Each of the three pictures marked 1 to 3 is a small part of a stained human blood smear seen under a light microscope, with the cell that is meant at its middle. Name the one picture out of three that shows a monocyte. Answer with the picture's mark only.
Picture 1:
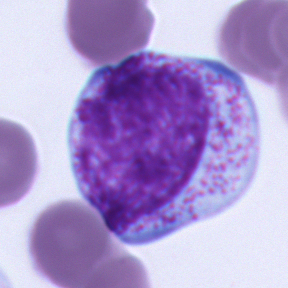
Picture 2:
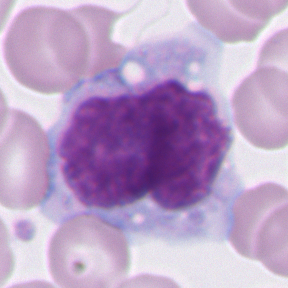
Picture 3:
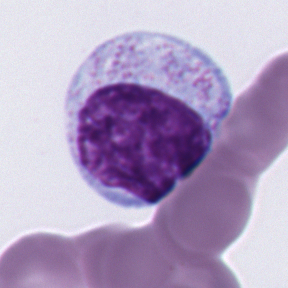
2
